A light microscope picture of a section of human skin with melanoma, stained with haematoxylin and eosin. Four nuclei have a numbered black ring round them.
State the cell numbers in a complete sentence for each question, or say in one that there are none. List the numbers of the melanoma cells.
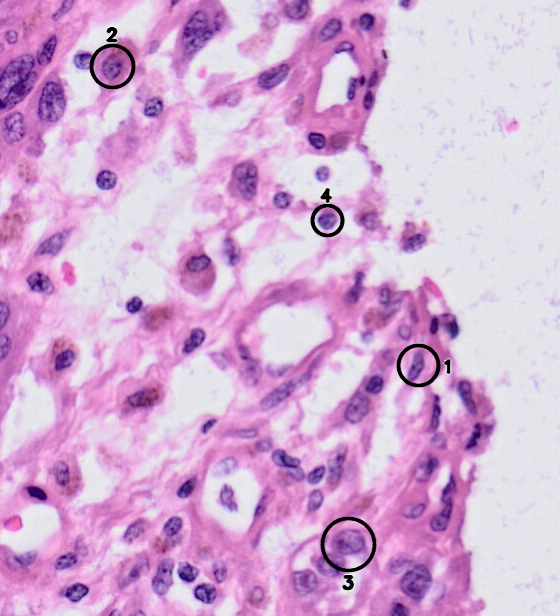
Cell 3 is a melanoma cell, and that holds for no other numbered cell.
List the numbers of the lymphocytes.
In this set of numbered cells, only cell 4 is a lymphocyte.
